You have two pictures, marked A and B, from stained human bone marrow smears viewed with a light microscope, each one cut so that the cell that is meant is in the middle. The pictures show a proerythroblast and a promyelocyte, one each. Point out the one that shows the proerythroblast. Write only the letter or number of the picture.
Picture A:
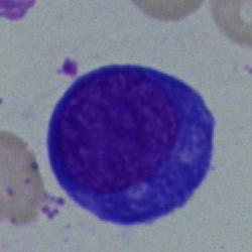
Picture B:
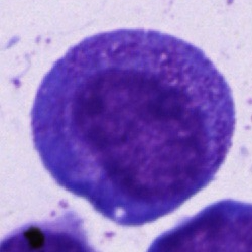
A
